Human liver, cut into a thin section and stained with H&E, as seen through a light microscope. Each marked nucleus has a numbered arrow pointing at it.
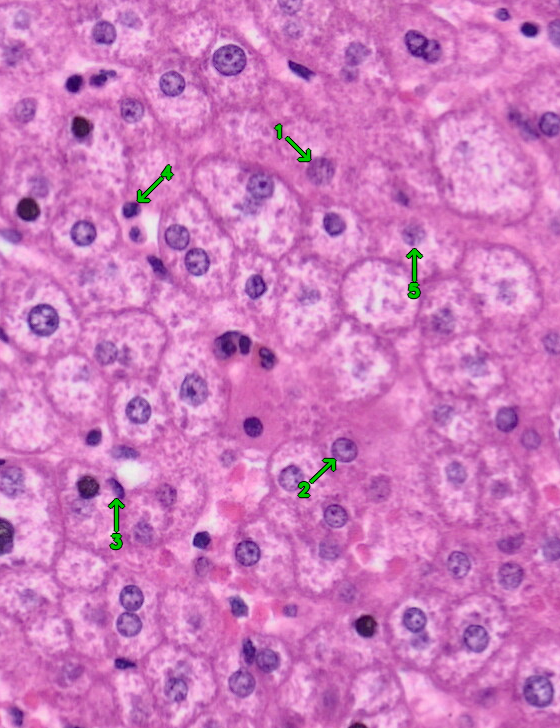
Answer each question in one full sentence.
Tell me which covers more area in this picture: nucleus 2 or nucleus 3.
The larger nucleus is 2, at roughly 2 times the area of 3.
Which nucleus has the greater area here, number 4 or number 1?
Nucleus 1 is larger, with an area about 2 times that of nucleus 4.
